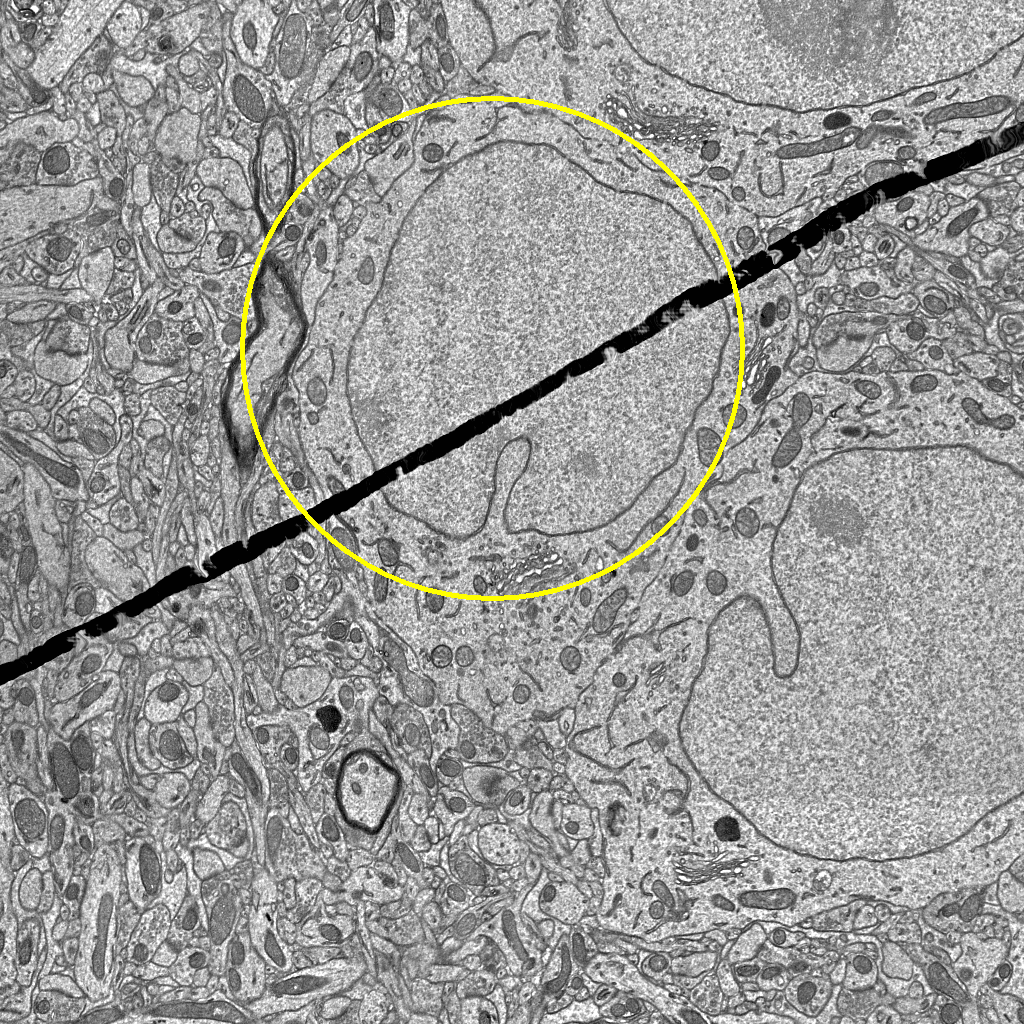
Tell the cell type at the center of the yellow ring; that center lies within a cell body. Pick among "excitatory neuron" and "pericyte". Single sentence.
The ring's center lies in the body of an excitatory neuron.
